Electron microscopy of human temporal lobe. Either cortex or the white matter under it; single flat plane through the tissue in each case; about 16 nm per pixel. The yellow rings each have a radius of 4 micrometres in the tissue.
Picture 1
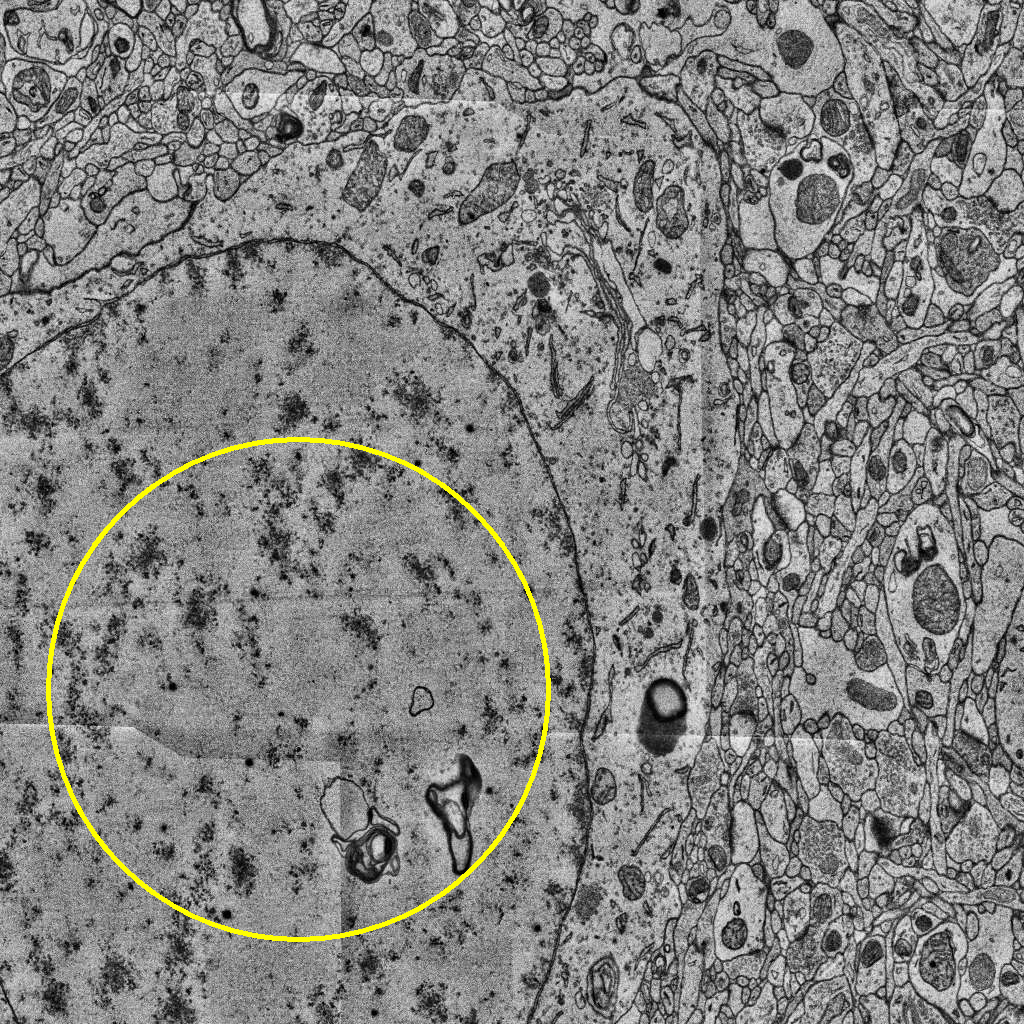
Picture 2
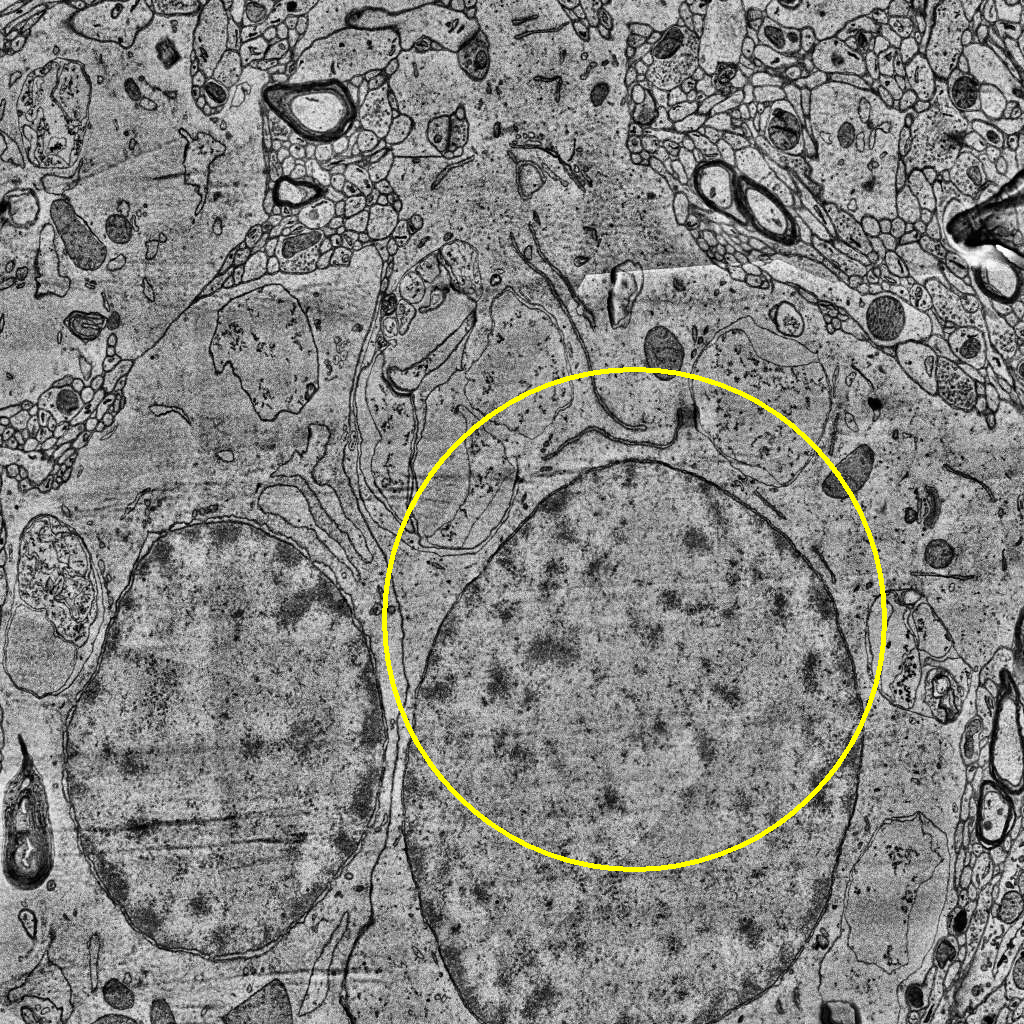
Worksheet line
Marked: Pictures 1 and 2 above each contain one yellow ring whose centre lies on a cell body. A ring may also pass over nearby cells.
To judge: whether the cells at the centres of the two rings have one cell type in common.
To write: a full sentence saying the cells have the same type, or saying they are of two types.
The cells at the centres of the rings in Picture 1 and Picture 2 are of two types.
